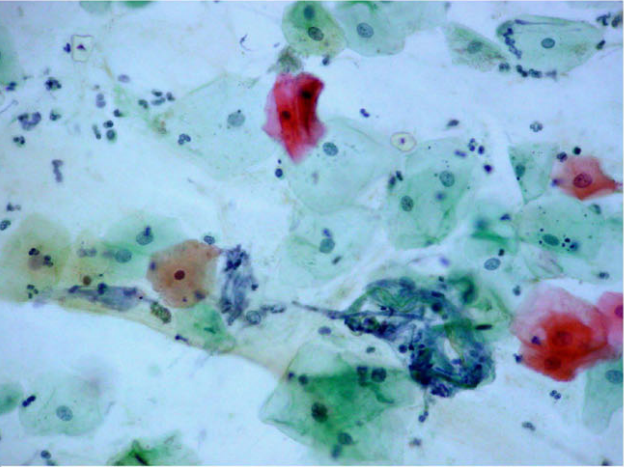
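A smear with superficial and intermediate squamous epithelial cells, leukocytes and strands of mucus. Most squamous cells are large flat polygons with pale blue-green cytoplasm and small oval nuclei; a few are deep red or orange with small dark nuclei. Some cells show folded margins. Numerous small leukocytes with dark nuclei are scattered throughout the background and over the epithelial cells.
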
